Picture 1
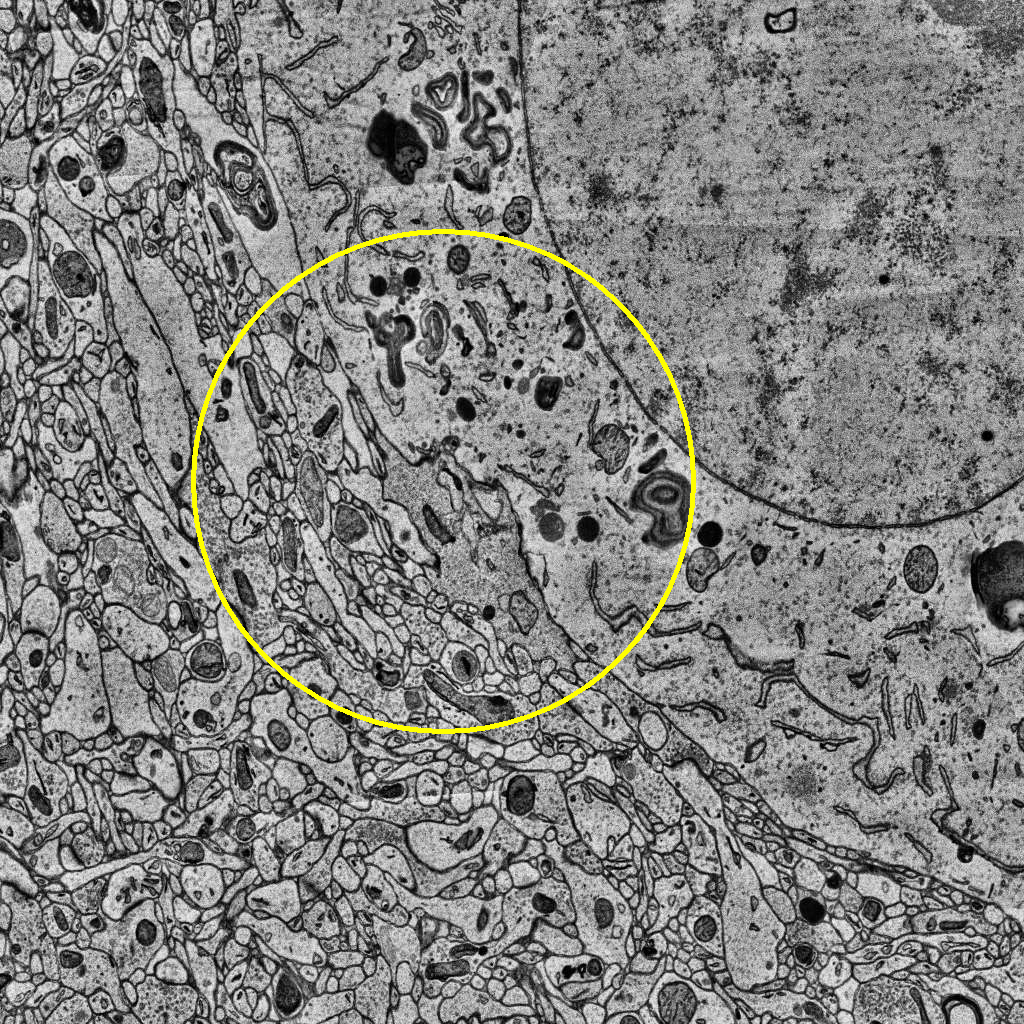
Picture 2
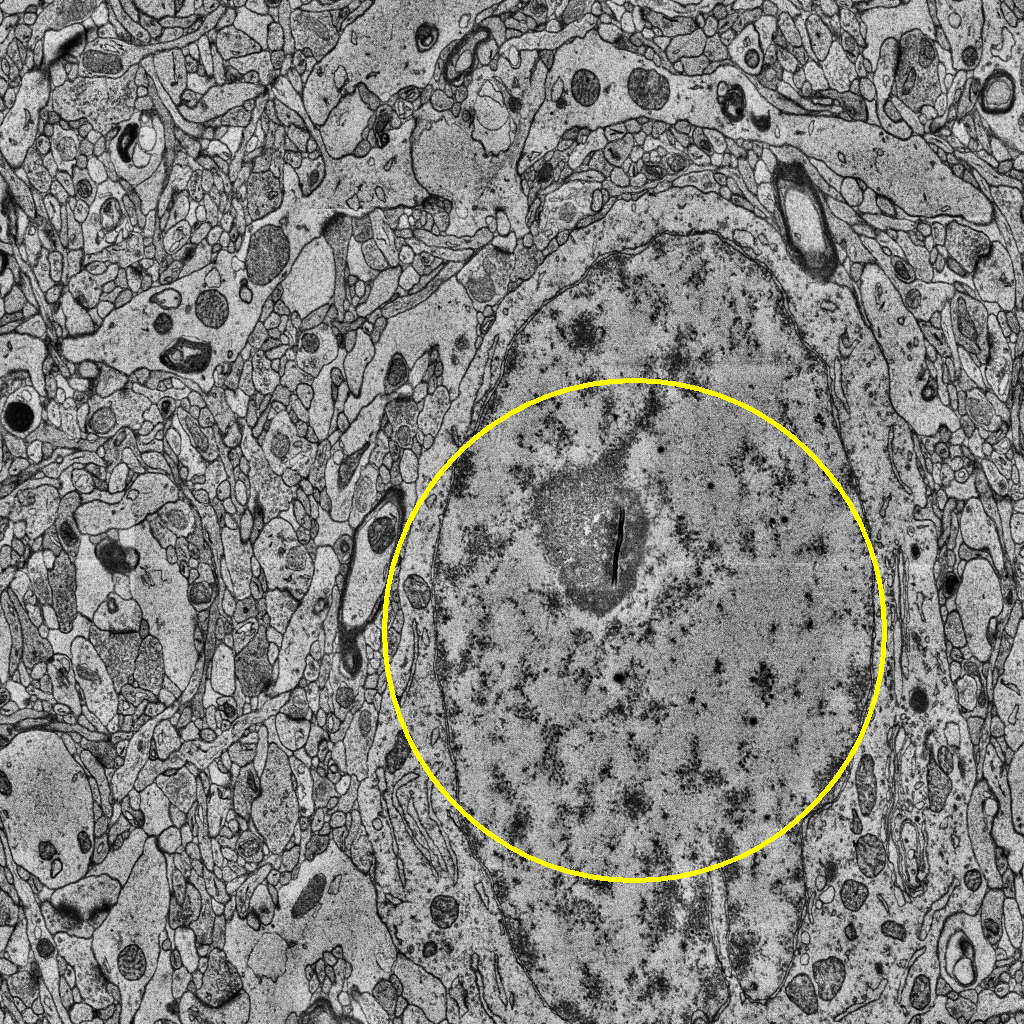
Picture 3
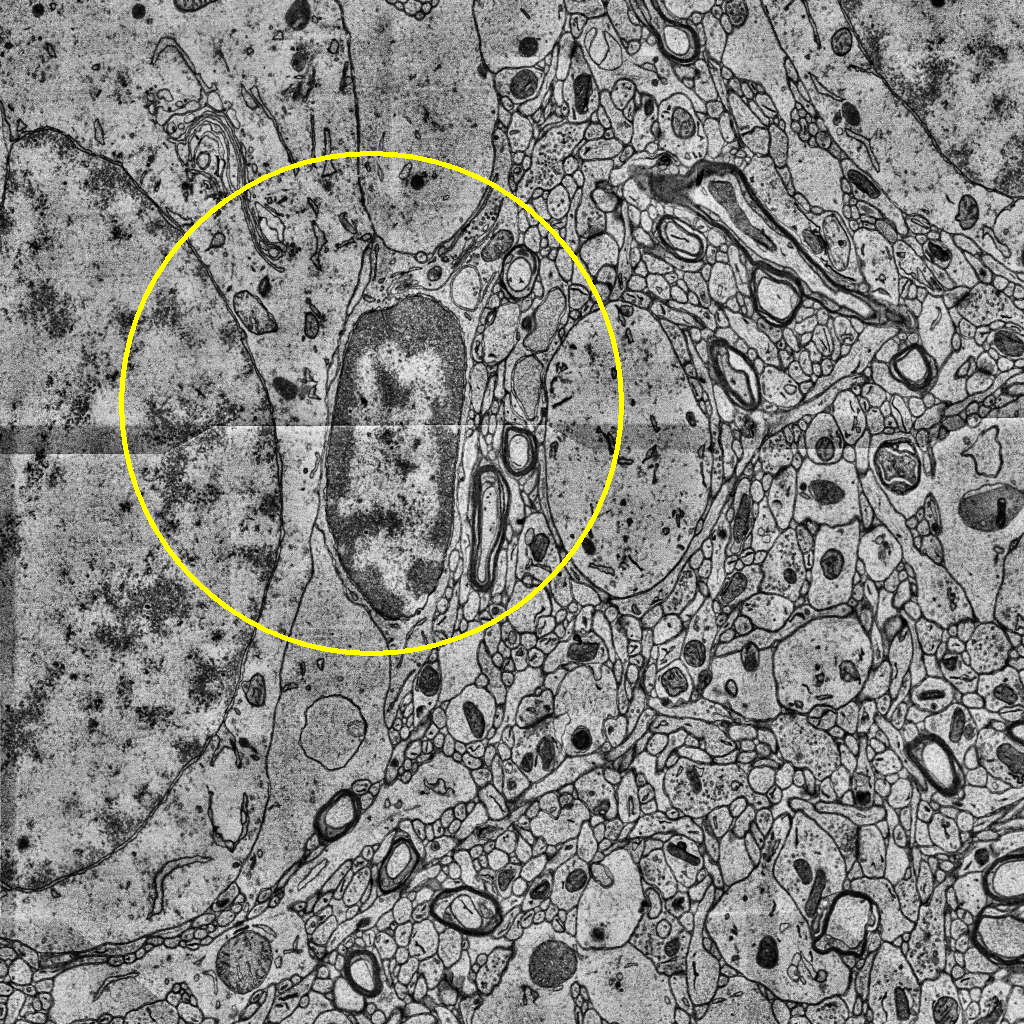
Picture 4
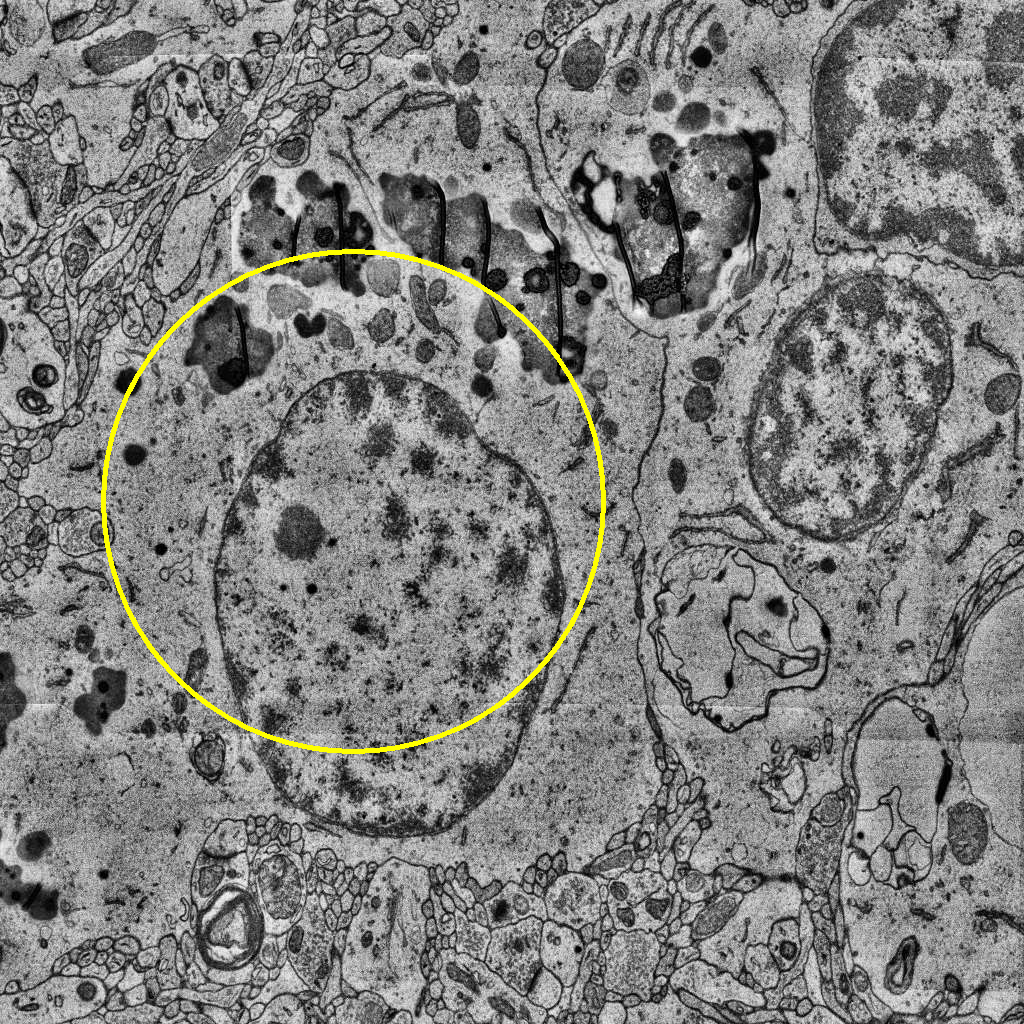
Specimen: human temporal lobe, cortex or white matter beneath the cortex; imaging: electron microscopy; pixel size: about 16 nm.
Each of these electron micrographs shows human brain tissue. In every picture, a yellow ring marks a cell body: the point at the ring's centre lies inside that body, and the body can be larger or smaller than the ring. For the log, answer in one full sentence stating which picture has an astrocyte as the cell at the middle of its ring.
In picture 4, the centre of the yellow ring lies inside the requested cell.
